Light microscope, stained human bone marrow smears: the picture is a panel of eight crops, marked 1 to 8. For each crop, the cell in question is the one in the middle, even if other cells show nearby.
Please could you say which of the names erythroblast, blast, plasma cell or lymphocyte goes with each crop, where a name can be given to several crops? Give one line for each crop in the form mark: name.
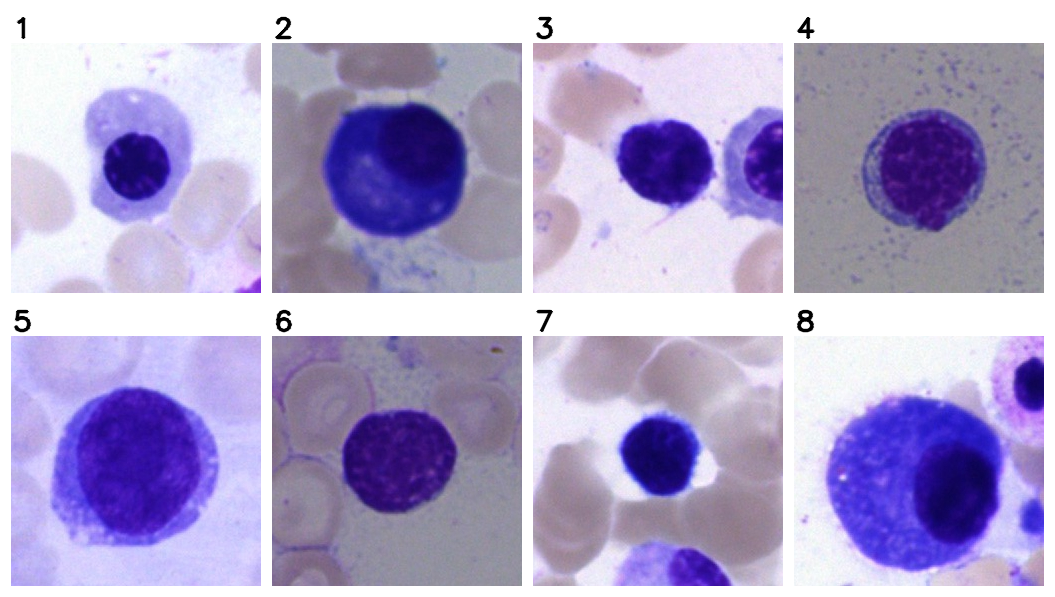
1: erythroblast
2: plasma cell
3: lymphocyte
4: lymphocyte
5: blast
6: lymphocyte
7: lymphocyte
8: plasma cell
